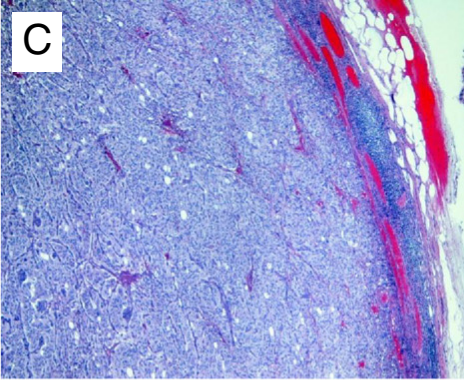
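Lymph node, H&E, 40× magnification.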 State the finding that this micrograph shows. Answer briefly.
metastatic tumor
